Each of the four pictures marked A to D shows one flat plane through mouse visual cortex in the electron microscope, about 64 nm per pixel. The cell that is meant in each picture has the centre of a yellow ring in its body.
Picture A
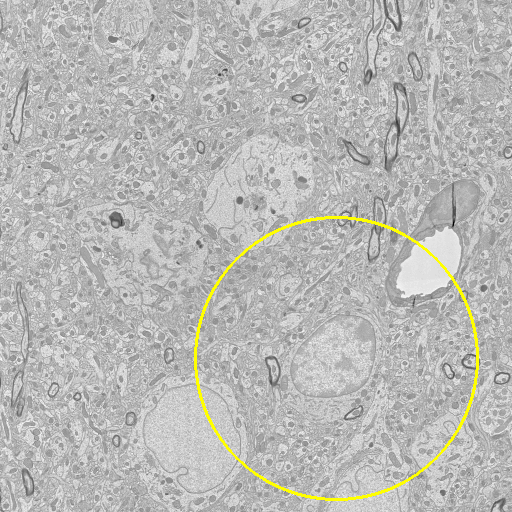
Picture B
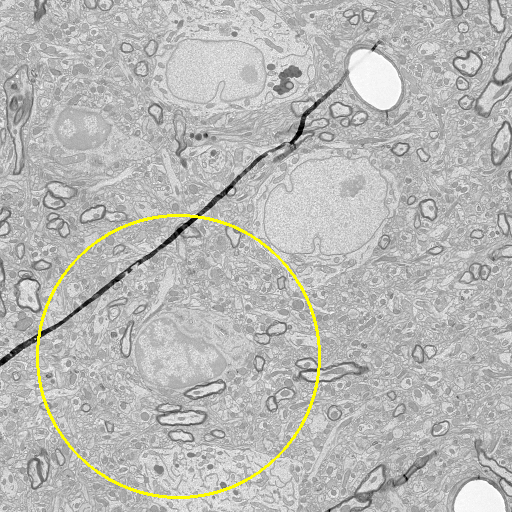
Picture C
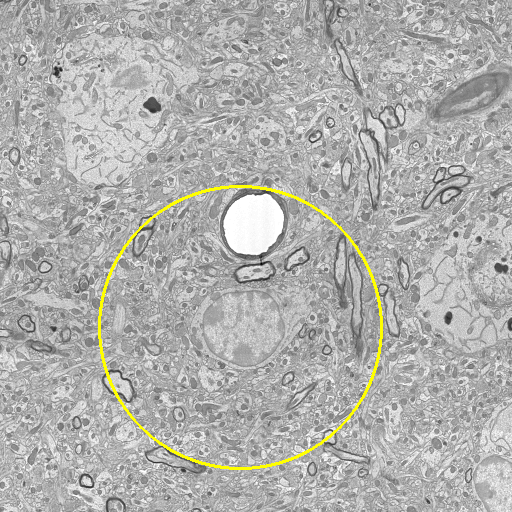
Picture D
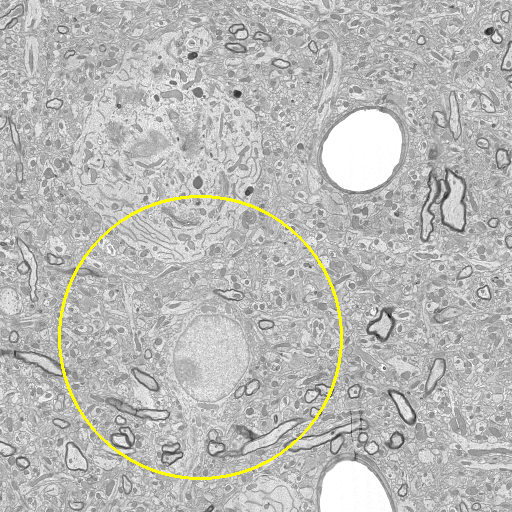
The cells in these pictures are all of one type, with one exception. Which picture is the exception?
The others show oligodendrocytes, but picture D shows an astrocyte.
